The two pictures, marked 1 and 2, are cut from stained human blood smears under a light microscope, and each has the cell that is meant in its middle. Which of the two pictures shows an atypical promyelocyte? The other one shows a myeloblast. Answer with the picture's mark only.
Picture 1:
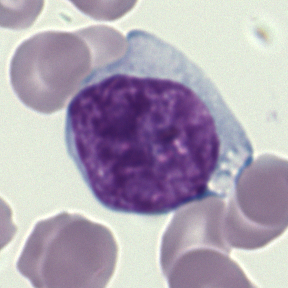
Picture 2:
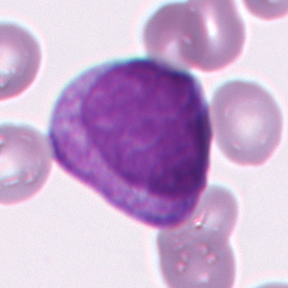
2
